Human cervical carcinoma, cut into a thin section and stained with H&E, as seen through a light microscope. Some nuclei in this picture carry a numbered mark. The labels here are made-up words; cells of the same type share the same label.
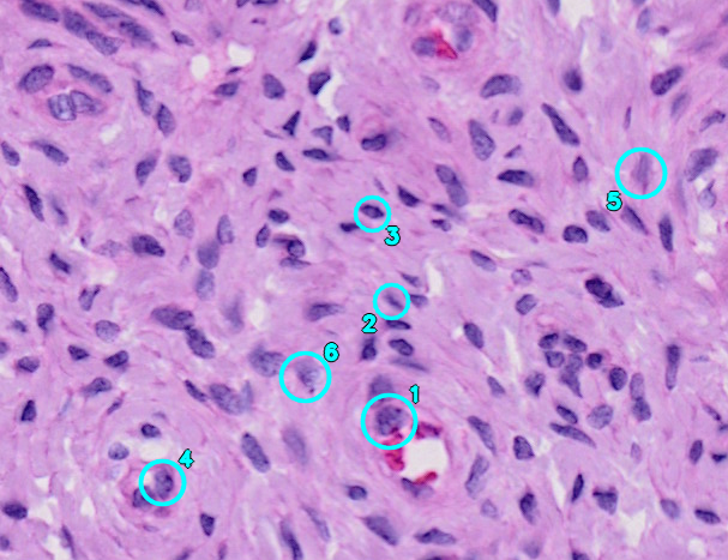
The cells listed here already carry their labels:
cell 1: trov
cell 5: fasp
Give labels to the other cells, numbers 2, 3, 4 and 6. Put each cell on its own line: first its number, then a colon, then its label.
2: fasp
3: fasp
4: trov
6: fasp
